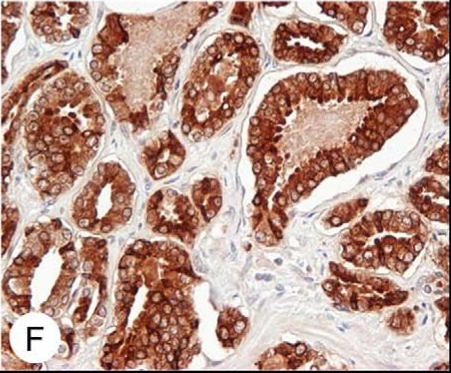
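These are crowded small and medium glands of adenocarcinoma set in a pale fibrous stroma. The tumour epithelial cells line round lumens, have round nuclei, and their cytoplasm is filled with dark brown stain, while the thin strands of stroma between glands stay pale with blue nuclei. Some lumens contain pale pink-brown secretion.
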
